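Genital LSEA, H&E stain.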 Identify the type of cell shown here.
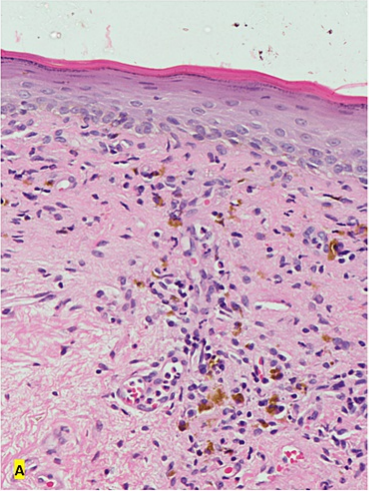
Dermal melanophages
